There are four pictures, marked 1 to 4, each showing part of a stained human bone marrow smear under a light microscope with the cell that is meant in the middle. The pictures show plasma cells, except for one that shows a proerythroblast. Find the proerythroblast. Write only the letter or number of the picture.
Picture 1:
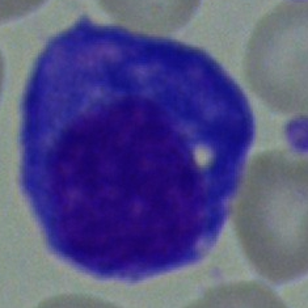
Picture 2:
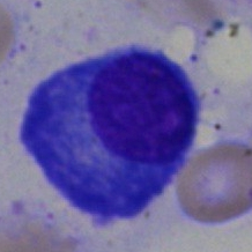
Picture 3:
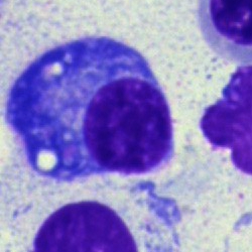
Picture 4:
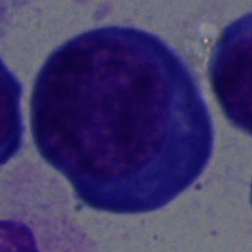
4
